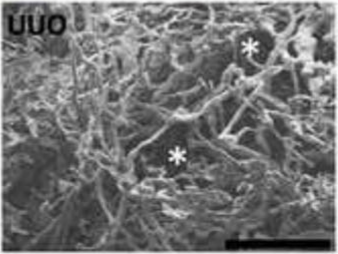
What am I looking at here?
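This scanning electron micrograph shows a resin cast of the capillaries between the kidney tubules, seen at lower magnification. The casts are thin, smooth, branching cylinders that interweave into a dense meshwork. The meshwork is not uniform: in some patches the vessels thin out and a darker background shows through. These bare patches are where stretches of tubulointerstitial capillaries have been lost. Around them the remaining capillaries still form a tangled net.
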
